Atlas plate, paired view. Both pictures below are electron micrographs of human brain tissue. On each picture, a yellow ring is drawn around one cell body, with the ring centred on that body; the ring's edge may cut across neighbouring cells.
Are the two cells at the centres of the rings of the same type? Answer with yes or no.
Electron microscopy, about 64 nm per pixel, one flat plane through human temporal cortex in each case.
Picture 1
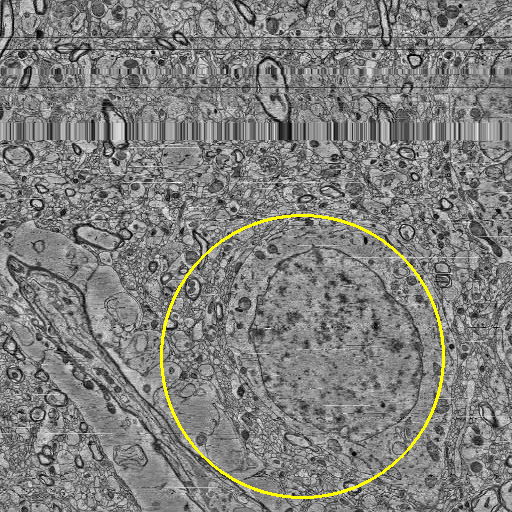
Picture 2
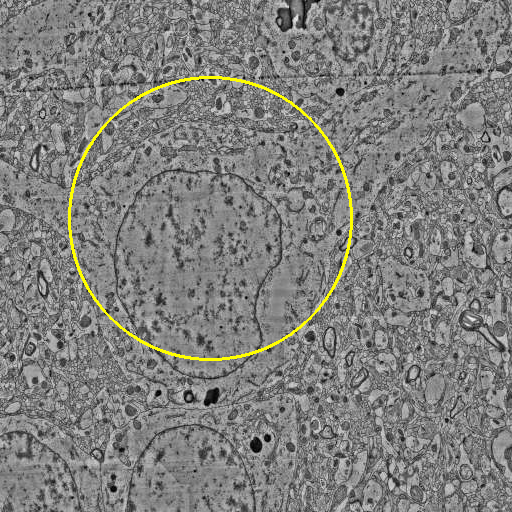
yes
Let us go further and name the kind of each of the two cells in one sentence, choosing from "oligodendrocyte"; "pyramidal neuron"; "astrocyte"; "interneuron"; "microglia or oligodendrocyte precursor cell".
Each of the two rings is centred on a pyramidal neuron.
